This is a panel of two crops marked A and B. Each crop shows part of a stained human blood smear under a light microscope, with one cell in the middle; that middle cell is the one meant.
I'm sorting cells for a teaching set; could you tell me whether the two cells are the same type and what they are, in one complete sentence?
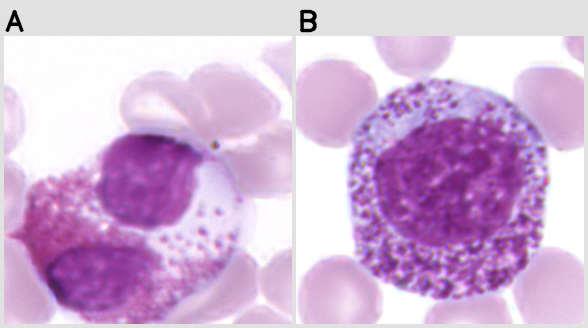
No, crop A and crop B contain, respectively, an eosinophil and a myelocyte.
